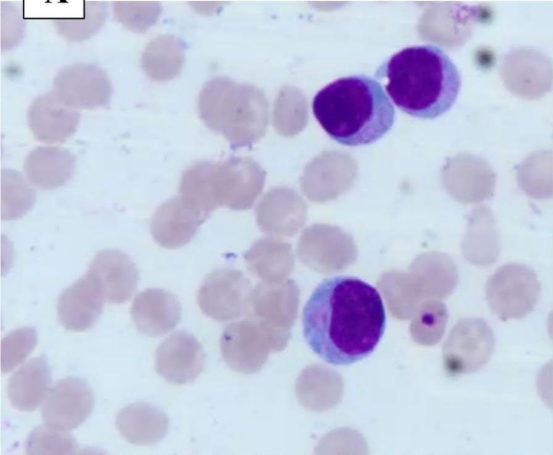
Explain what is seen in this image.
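In this blood smear, three lymphocytes of intermediate size stand out among many pink, disc-shaped red cells. Each lymphocyte is somewhat larger than a red cell. Each has a round nucleus that stains dark purple, with dense chromatin, and is set a little off-centre. A band of pale blue cytoplasm surrounds the nucleus, wider on one side than the other. Two of the cells lie close together near the top, and the third lies lower down. A few small purple platelet fragments lie scattered in the background. Most of the nucleated cells in this field are of this lymphoid kind.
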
